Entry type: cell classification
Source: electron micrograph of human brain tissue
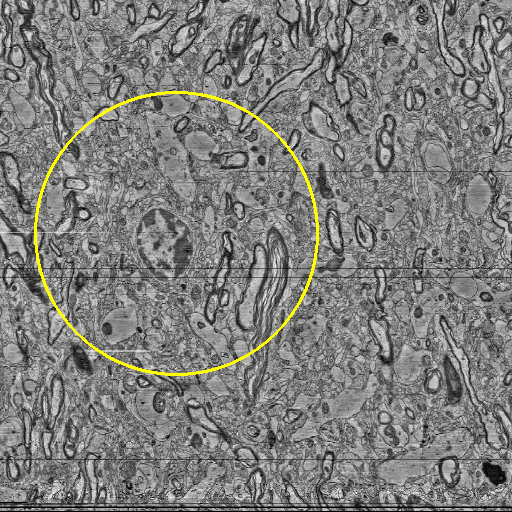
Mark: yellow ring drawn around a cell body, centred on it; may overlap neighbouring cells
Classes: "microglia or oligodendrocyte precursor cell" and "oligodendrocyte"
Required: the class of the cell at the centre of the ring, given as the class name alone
microglia or oligodendrocyte precursor cell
